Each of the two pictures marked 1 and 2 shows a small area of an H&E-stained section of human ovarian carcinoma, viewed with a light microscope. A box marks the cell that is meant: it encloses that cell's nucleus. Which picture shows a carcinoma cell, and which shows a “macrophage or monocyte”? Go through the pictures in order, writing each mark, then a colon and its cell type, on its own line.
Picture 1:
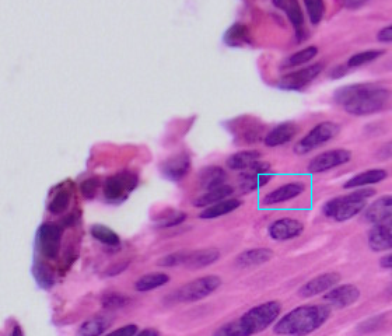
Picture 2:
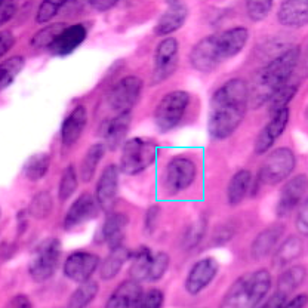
1: carcinoma cell
2: macrophage or monocyte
